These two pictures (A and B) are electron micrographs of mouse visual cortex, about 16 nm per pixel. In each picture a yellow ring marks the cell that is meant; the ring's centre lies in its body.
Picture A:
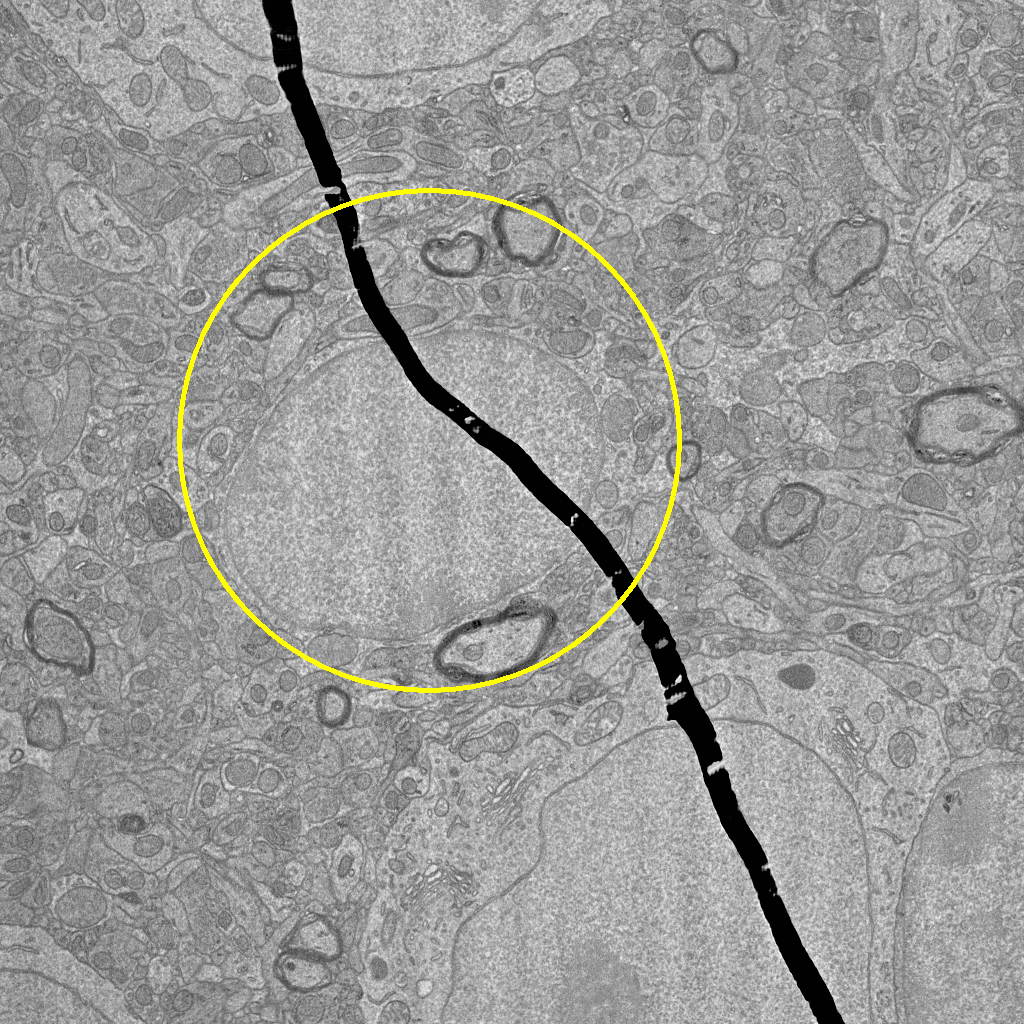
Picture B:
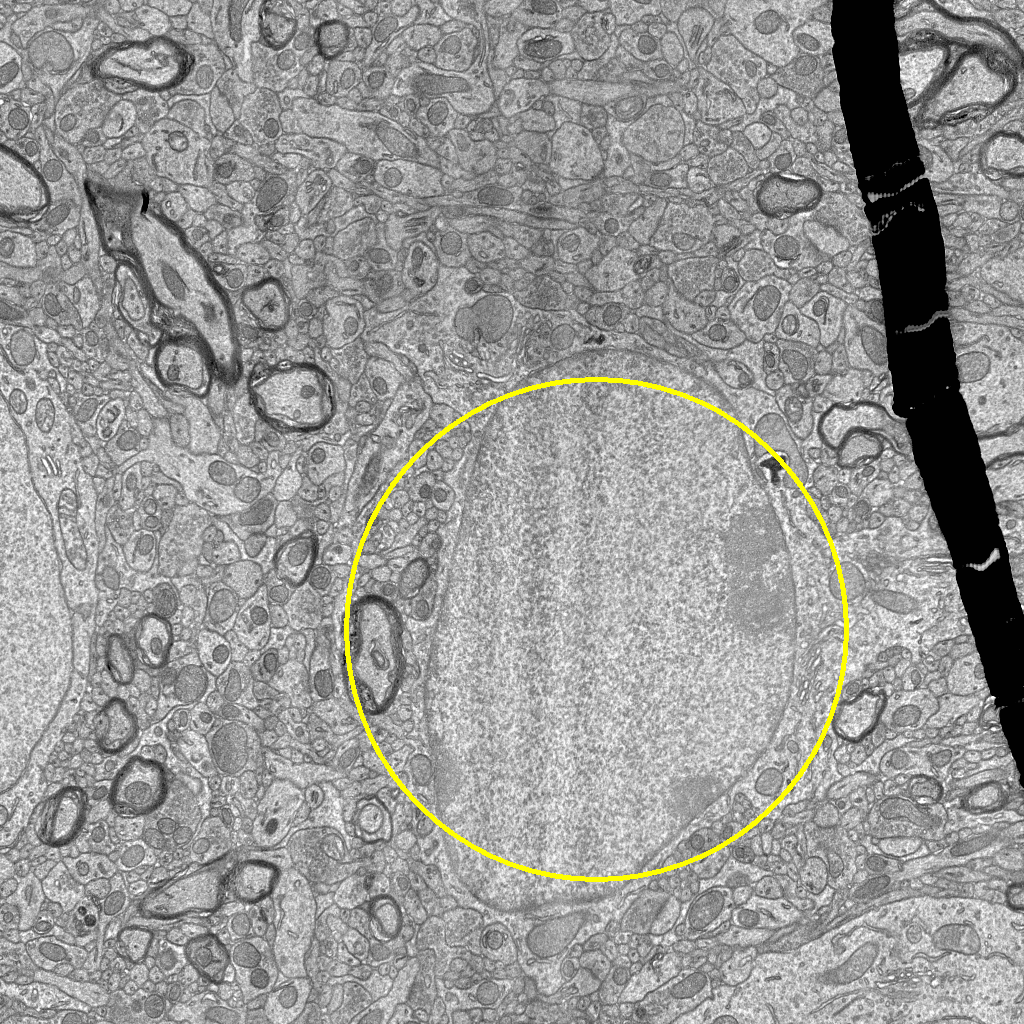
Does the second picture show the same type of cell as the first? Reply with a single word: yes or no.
yes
